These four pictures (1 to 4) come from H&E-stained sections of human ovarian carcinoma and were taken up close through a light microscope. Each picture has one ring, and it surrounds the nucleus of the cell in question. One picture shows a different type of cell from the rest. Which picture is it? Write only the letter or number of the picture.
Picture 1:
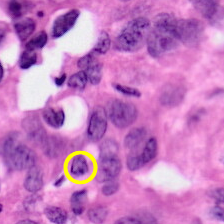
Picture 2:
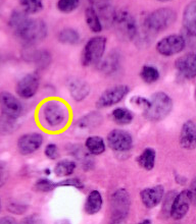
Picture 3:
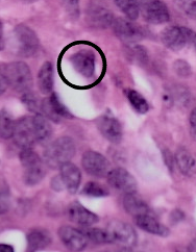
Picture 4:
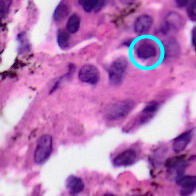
4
